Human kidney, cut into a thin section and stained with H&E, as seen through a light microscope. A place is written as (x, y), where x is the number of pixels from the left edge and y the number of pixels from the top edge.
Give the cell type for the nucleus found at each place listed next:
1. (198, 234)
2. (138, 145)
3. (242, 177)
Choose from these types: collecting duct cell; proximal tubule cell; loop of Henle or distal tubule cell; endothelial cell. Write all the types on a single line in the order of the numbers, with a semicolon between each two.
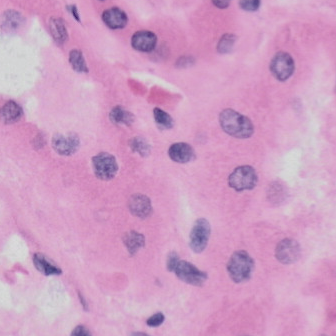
endothelial cell; loop of Henle or distal tubule cell; proximal tubule cell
